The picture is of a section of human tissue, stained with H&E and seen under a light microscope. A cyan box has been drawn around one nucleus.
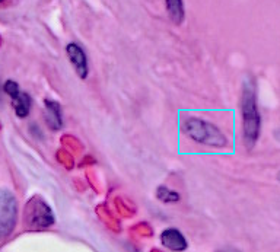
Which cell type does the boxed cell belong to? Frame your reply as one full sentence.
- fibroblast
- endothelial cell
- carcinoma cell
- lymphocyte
In the context of this tissue, the boxed cell is an endothelial cell.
